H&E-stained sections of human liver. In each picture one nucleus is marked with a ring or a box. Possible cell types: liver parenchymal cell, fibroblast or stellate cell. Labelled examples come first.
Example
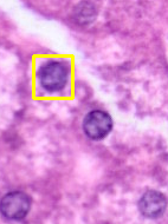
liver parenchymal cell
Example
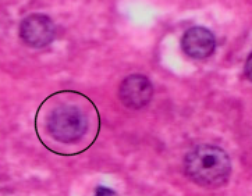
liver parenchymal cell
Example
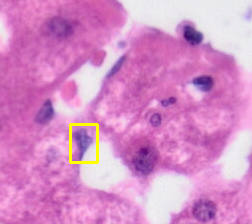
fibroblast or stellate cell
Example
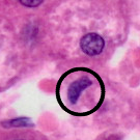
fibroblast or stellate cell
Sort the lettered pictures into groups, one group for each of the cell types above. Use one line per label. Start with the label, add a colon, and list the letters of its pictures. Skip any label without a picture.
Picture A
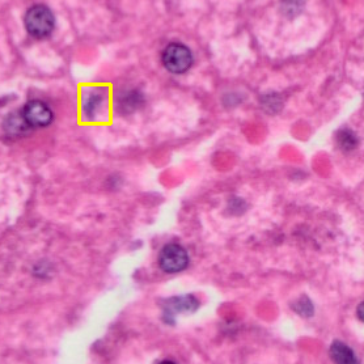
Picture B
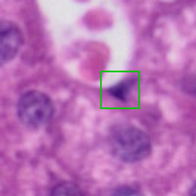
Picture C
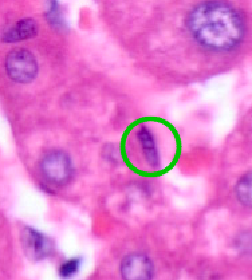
fibroblast or stellate cell: A, B, C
